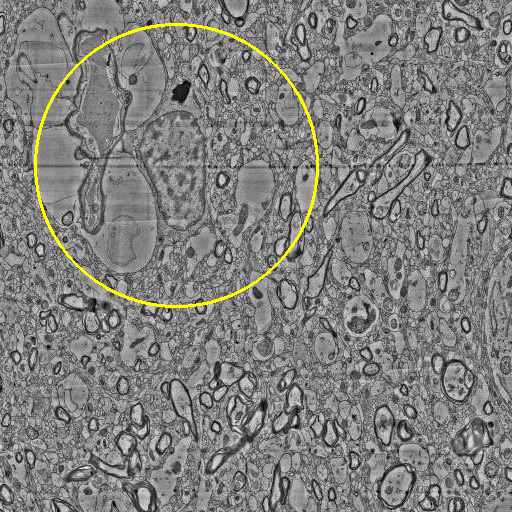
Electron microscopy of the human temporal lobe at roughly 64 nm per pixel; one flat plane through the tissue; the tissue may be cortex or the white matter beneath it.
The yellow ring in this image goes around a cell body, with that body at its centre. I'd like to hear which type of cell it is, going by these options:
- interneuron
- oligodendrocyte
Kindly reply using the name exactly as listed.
oligodendrocyte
